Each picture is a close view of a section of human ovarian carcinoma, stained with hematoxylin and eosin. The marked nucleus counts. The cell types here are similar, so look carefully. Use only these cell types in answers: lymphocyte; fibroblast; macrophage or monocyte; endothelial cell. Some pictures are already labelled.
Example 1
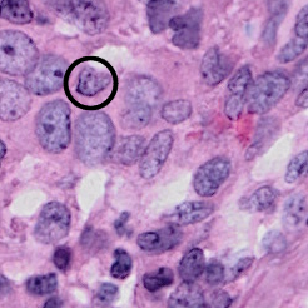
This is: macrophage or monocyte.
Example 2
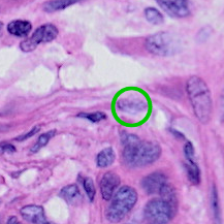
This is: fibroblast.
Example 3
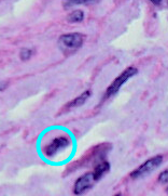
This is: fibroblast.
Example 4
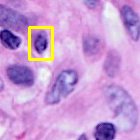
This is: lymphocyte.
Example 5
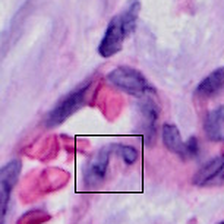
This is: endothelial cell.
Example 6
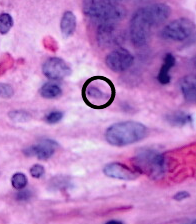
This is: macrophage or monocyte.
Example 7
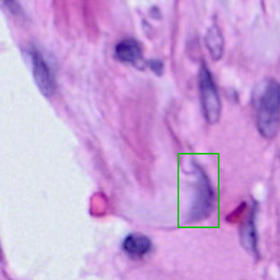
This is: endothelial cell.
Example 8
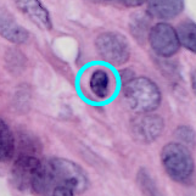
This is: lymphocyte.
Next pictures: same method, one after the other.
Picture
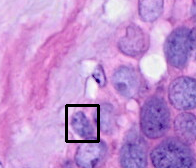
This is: macrophage or monocyte.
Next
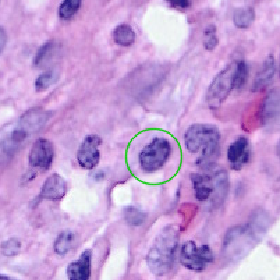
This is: lymphocyte.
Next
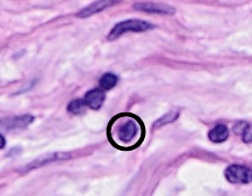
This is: lymphocyte.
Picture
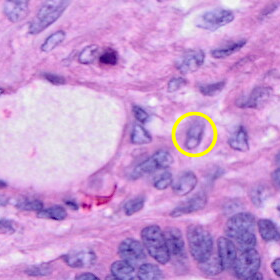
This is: fibroblast.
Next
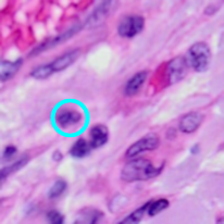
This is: lymphocyte.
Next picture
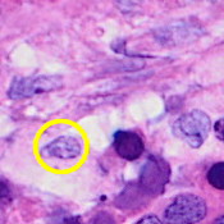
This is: macrophage or monocyte.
